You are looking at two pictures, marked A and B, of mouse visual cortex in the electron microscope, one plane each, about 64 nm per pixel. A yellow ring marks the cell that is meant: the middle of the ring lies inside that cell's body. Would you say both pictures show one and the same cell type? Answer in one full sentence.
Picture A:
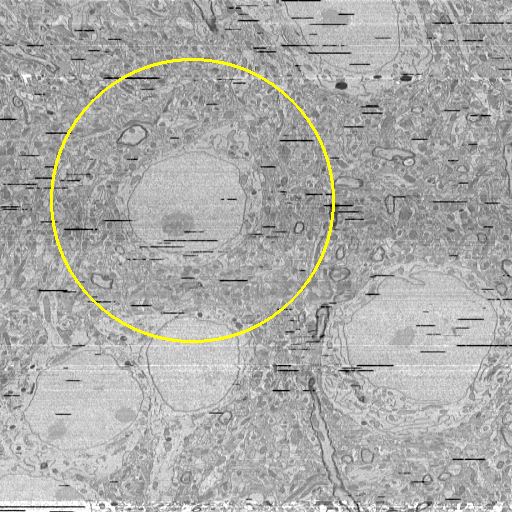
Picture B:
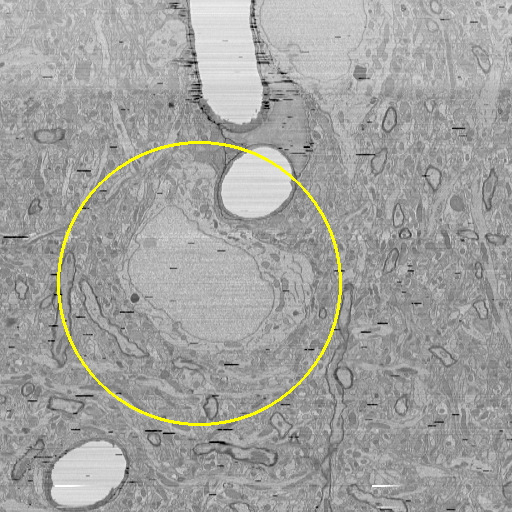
Yes, the two pictures both show excitatory neurons.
